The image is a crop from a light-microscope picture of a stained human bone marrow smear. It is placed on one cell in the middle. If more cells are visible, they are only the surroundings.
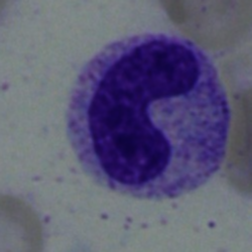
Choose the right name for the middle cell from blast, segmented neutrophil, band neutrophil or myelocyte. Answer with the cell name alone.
band neutrophil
